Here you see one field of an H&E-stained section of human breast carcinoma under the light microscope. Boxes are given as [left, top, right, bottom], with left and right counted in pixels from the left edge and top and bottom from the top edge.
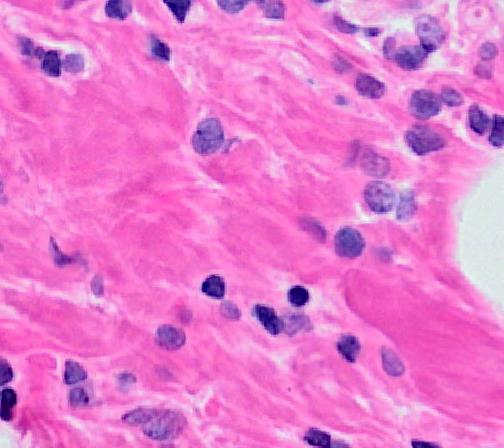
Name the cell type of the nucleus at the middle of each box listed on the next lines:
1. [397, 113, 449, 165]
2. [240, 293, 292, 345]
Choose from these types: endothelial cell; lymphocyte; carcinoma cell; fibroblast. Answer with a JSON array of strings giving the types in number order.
["carcinoma cell", "lymphocyte"]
